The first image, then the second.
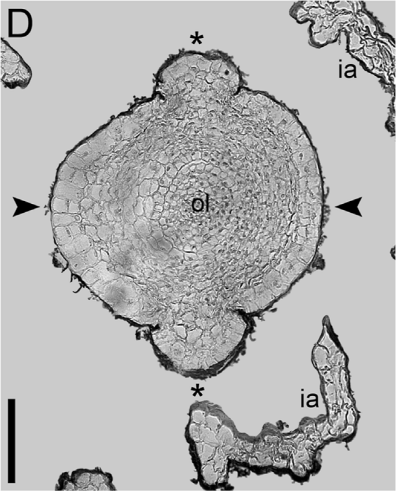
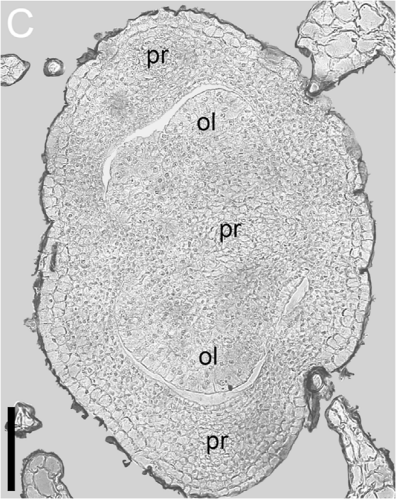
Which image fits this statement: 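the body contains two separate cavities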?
the second image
